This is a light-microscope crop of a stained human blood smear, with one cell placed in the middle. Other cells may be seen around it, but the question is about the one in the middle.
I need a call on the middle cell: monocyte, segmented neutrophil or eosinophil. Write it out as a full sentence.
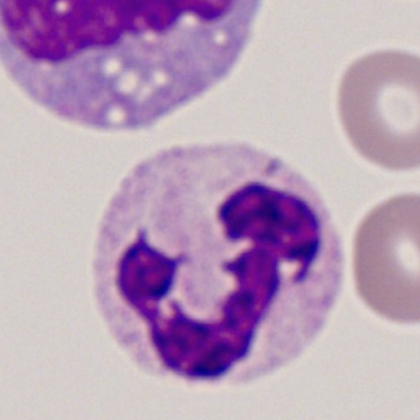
The cell centered in this field of view is a segmented neutrophil.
